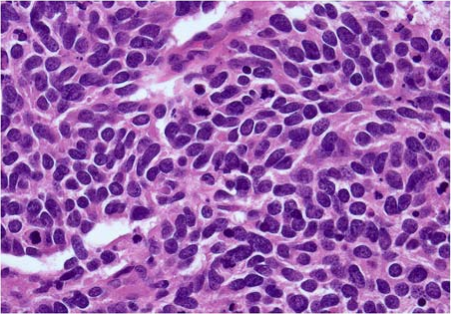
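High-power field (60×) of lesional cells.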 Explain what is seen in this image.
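Sheets of small, densely packed tumour cells, round to oval in shape, with scant pale pink cytoplasm and poorly defined cell borders. Their nuclei are dark purple and hyperchromatic, with nucleoli inconspicuous or absent, and adjacent nuclei press into and mould against one another.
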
